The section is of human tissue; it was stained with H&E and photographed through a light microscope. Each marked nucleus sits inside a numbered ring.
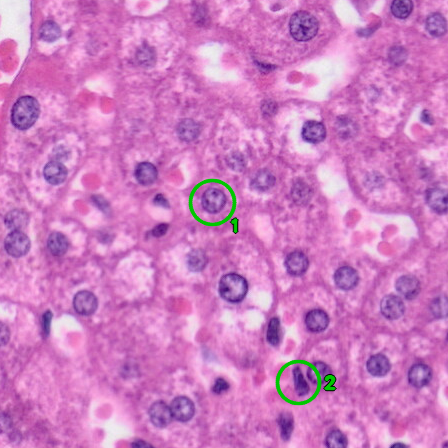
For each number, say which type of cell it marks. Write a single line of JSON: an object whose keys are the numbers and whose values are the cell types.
{"1": "hepatocyte", "2": "fibroblast or stellate cell"}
